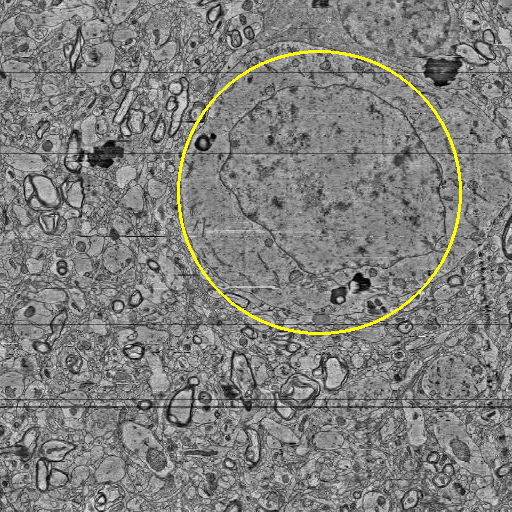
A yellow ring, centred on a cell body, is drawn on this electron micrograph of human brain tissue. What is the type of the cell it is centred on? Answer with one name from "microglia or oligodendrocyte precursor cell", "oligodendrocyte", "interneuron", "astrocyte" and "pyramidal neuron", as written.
pyramidal neuron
